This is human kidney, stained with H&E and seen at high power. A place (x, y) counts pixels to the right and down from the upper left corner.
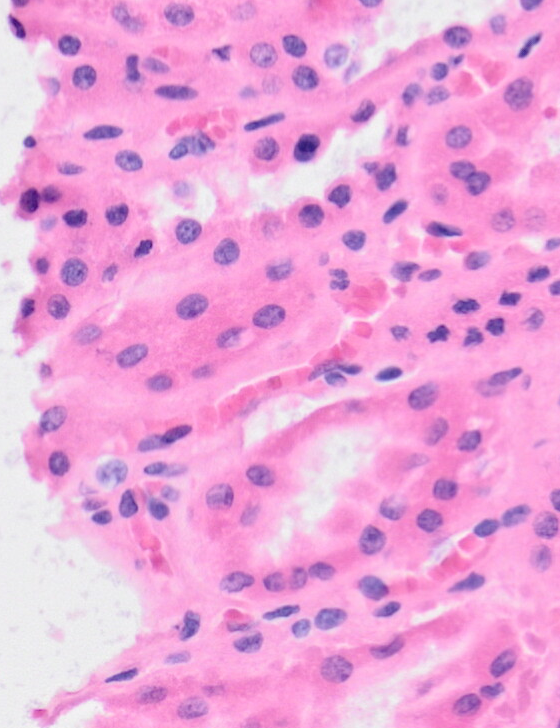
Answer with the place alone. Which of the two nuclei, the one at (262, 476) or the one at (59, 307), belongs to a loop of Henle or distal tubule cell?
(59, 307)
